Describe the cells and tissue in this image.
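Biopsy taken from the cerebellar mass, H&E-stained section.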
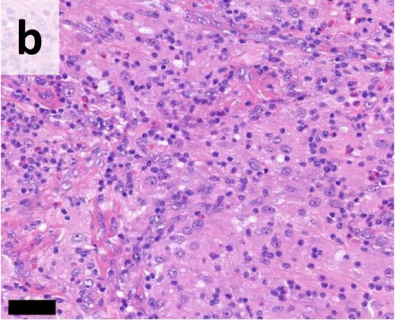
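Tumor tissue composed of neoplastic histiocytes with wide pink, eosinophilic cytoplasm and oval, pale nuclei. The cells form loose sheets and streams. Numerous small cells with dark round nuclei are scattered among the larger cells.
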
